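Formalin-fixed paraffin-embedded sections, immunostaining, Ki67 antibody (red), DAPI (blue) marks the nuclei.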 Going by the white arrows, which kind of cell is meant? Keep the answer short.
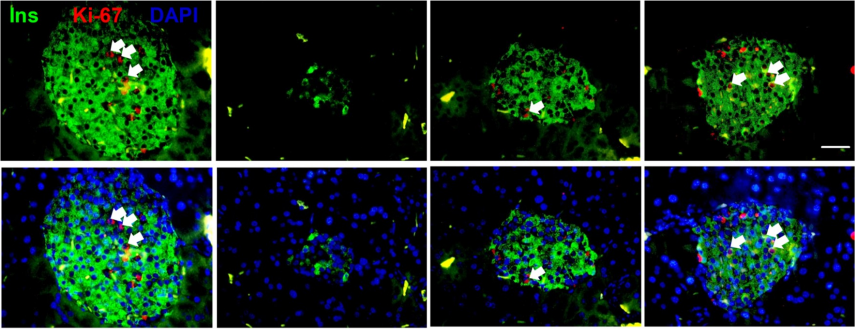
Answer: Proliferating β-cells.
